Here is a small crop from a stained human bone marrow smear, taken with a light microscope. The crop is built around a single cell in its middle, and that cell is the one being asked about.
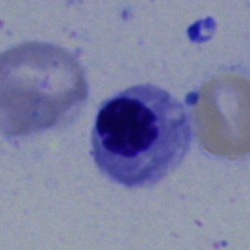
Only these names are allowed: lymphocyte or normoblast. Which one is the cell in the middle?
normoblast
